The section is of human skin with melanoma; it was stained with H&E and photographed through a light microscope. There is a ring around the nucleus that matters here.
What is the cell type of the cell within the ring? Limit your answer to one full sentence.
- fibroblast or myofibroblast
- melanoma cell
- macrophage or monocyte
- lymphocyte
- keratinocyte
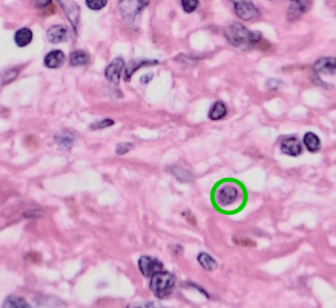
To be brief about it, the cell within the ring is a macrophage or monocyte.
